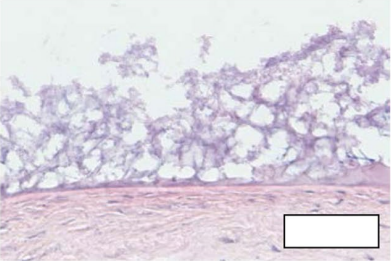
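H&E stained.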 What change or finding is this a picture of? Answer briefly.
destroyed epithelial architecture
